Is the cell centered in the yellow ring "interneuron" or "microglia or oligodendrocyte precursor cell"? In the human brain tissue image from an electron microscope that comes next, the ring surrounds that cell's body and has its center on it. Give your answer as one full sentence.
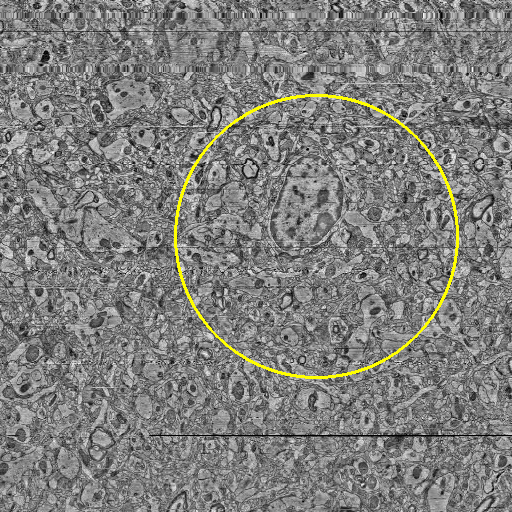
The cell at the center of the yellow ring is a microglial cell or oligodendrocyte precursor cell in the micrograph.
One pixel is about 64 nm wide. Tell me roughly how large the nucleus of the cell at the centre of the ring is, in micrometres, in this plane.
About 6 by 4 micrometres, the nucleus being clearly longer than it is wide in this plane.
